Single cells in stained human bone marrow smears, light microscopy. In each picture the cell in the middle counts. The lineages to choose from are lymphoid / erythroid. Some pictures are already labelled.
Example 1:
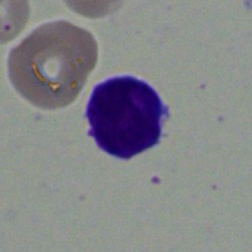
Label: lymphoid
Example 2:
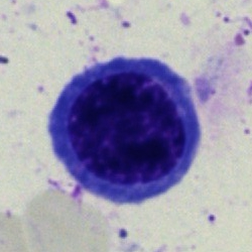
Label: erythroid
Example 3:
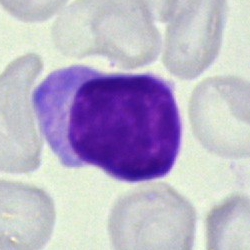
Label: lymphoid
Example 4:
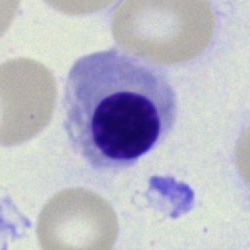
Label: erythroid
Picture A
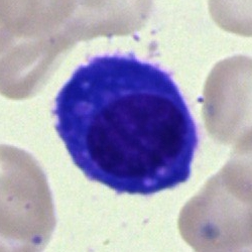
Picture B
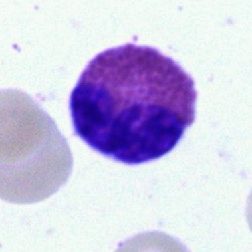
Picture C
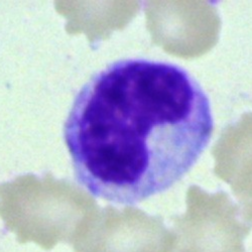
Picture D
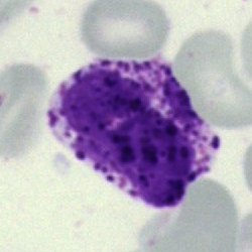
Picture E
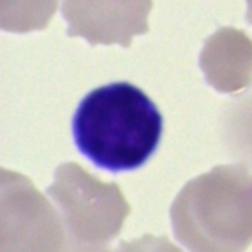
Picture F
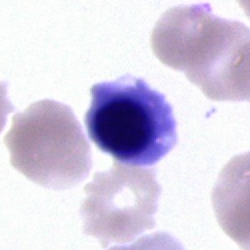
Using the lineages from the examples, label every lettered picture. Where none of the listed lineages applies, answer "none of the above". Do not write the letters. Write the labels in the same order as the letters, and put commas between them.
lymphoid, none of the above, none of the above, none of the above, lymphoid, erythroid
